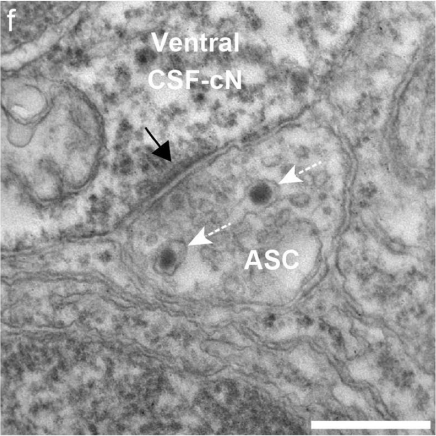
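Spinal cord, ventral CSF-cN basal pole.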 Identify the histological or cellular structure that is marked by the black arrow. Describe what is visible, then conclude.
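Two apposed membranes with thickened dense material on both sides. The contact lies between a small terminal and a larger cell body.
Answer: synaptic contact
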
